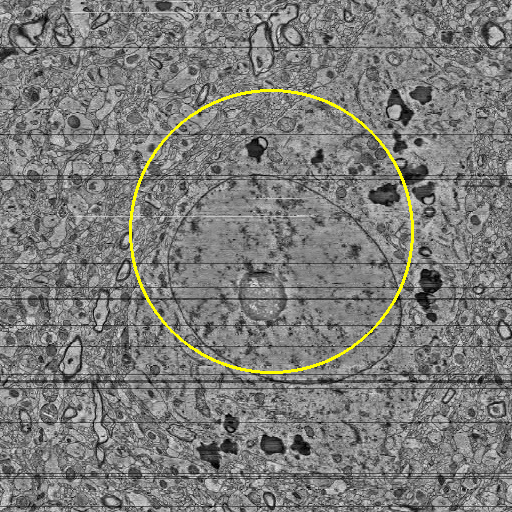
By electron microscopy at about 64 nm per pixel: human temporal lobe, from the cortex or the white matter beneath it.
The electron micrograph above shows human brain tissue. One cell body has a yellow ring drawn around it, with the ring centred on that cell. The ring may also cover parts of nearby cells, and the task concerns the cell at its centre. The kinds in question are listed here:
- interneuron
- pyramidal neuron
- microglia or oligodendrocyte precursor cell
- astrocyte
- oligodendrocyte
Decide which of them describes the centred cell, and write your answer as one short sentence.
The centred cell is a pyramidal neuron.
